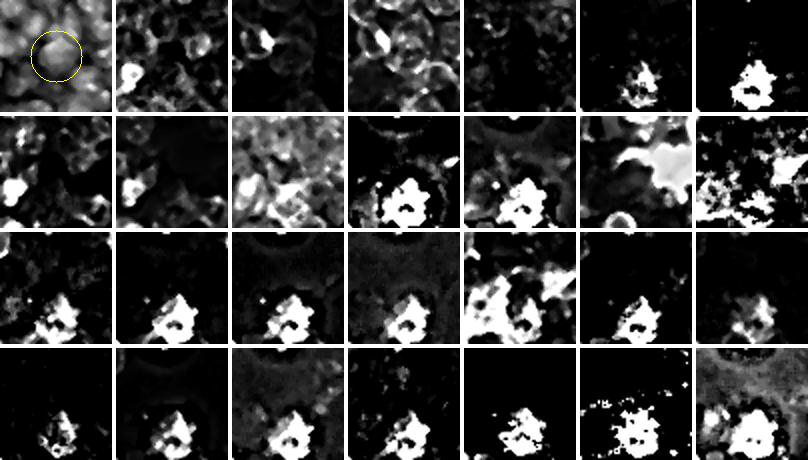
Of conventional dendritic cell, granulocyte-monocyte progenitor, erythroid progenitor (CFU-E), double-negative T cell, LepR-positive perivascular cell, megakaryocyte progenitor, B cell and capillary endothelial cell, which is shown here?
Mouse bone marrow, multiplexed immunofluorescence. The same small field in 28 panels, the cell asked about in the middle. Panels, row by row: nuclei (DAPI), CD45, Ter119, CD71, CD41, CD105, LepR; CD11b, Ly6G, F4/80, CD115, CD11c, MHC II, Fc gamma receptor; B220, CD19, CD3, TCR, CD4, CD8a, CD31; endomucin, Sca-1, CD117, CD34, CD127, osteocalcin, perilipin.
LepR-positive perivascular cell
